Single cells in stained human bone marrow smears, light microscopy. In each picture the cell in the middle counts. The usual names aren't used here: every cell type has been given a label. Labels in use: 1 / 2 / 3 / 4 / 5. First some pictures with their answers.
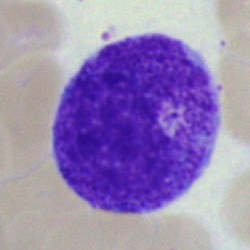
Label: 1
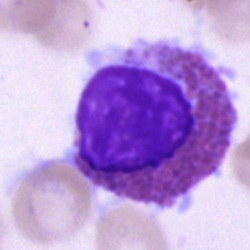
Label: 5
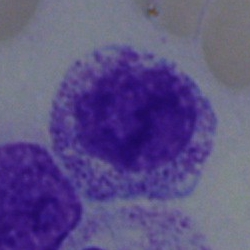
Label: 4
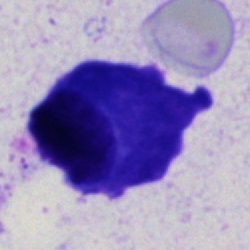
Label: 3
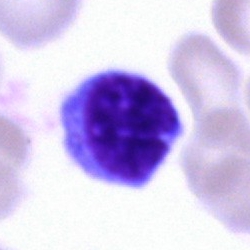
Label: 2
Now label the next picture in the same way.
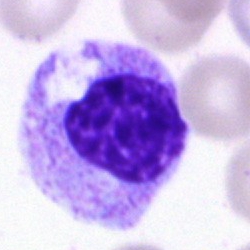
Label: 4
